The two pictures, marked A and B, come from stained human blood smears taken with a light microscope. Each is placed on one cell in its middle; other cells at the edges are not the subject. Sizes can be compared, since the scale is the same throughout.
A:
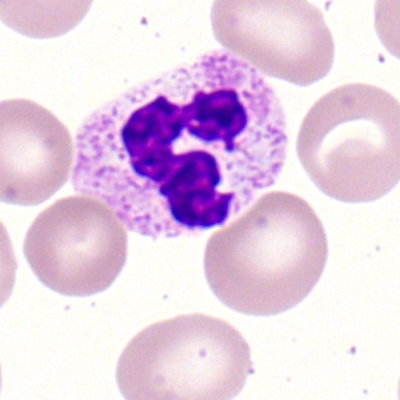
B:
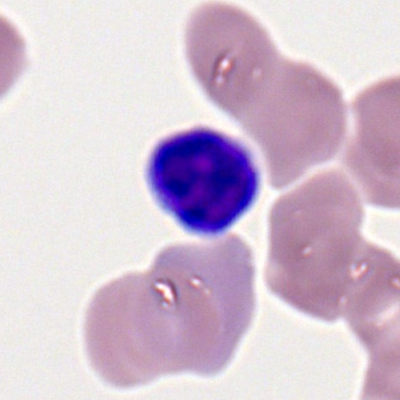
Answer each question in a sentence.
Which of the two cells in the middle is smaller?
Crop B holds the smaller cell, since the cell in crop A covers about 2.5 times as much area.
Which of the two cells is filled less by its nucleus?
Of the two, the nucleus in crop A leaves more room for cytoplasm.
